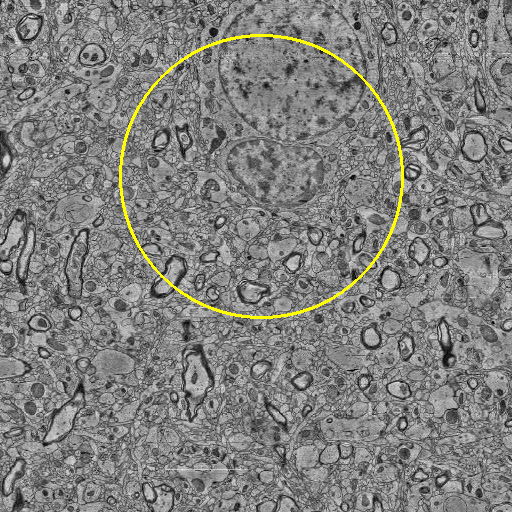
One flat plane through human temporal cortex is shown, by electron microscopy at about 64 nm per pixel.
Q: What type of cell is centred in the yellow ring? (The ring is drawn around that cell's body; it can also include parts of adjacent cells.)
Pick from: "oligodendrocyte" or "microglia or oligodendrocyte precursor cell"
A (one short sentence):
The yellow ring is centred on an oligodendrocyte.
